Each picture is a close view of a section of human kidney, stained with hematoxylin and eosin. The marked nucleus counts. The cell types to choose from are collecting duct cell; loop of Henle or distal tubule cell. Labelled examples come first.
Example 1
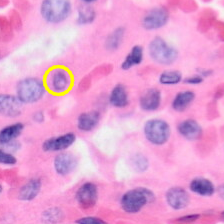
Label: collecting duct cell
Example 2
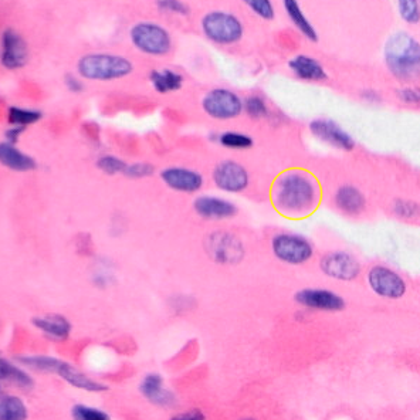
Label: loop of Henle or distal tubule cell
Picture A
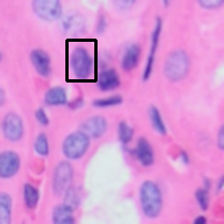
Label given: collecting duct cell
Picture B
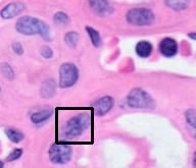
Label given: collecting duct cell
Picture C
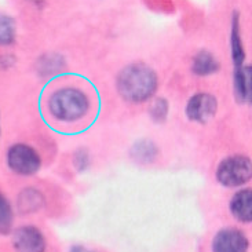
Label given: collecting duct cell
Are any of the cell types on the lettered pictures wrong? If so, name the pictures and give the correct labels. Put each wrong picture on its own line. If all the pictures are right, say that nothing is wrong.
C should be loop of Henle or distal tubule cell, not collecting duct cell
